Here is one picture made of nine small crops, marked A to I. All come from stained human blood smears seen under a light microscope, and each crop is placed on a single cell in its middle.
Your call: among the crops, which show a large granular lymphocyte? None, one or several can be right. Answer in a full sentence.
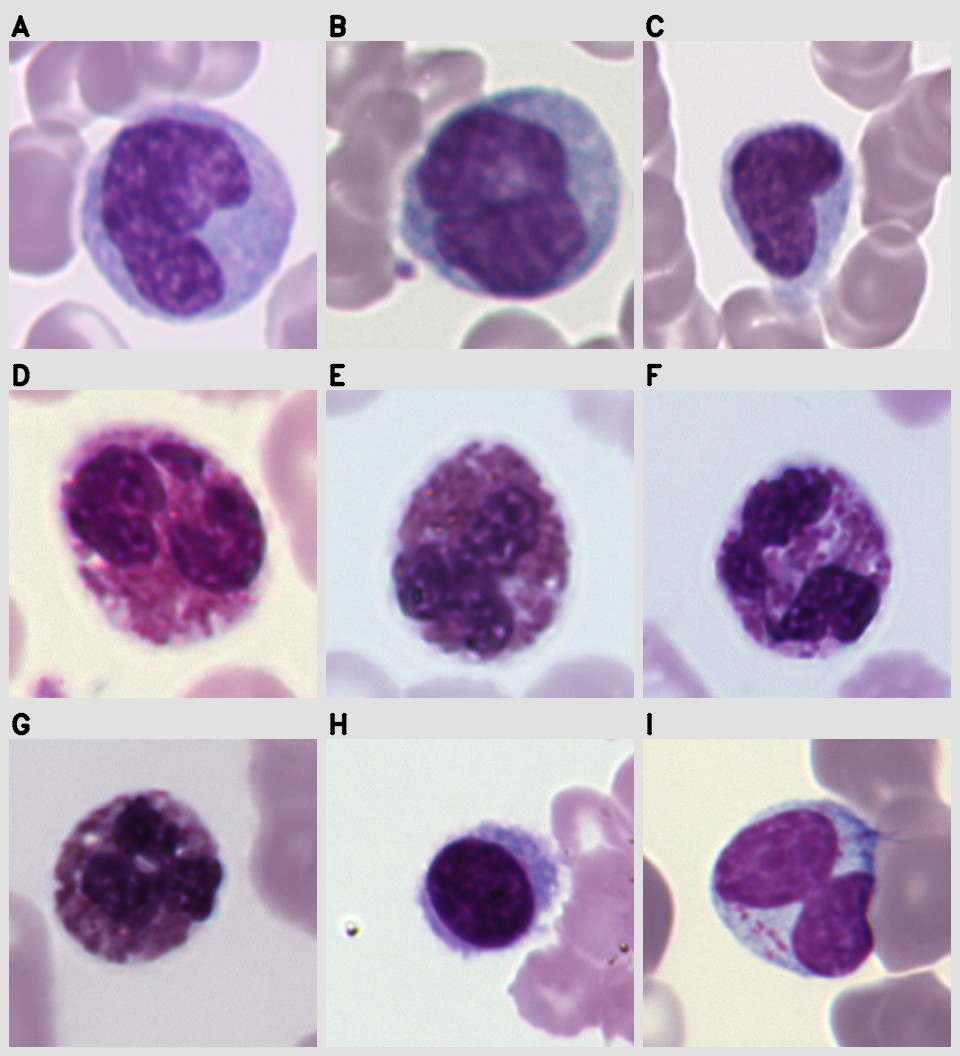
In this set, a large granular lymphocyte is present only in crop I.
